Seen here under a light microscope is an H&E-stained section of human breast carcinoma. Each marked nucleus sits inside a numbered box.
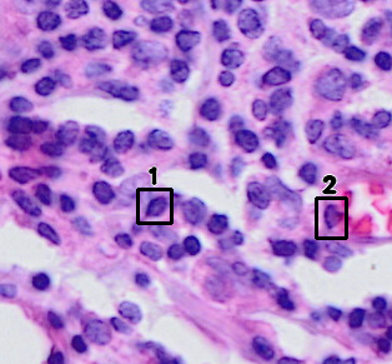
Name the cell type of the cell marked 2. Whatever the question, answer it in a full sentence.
That cell with number 2 is an endothelial cell.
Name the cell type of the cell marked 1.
Number 1 among the marked cells is a lymphocyte.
